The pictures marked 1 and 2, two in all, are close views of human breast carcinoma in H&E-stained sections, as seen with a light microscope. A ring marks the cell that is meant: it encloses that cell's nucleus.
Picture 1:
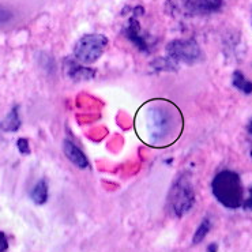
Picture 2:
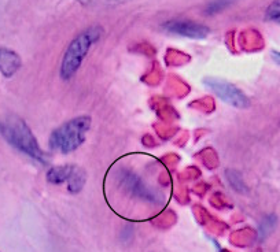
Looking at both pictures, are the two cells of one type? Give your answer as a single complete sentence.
Yes, they are the same type: both are endothelial cells.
